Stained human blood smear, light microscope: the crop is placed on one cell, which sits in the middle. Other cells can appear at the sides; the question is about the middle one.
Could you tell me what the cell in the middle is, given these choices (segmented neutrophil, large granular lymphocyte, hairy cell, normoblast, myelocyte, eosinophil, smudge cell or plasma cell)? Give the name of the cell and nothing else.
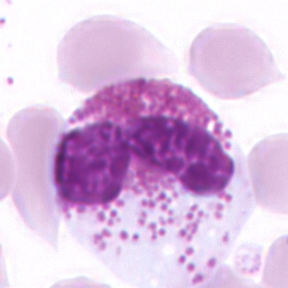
eosinophil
